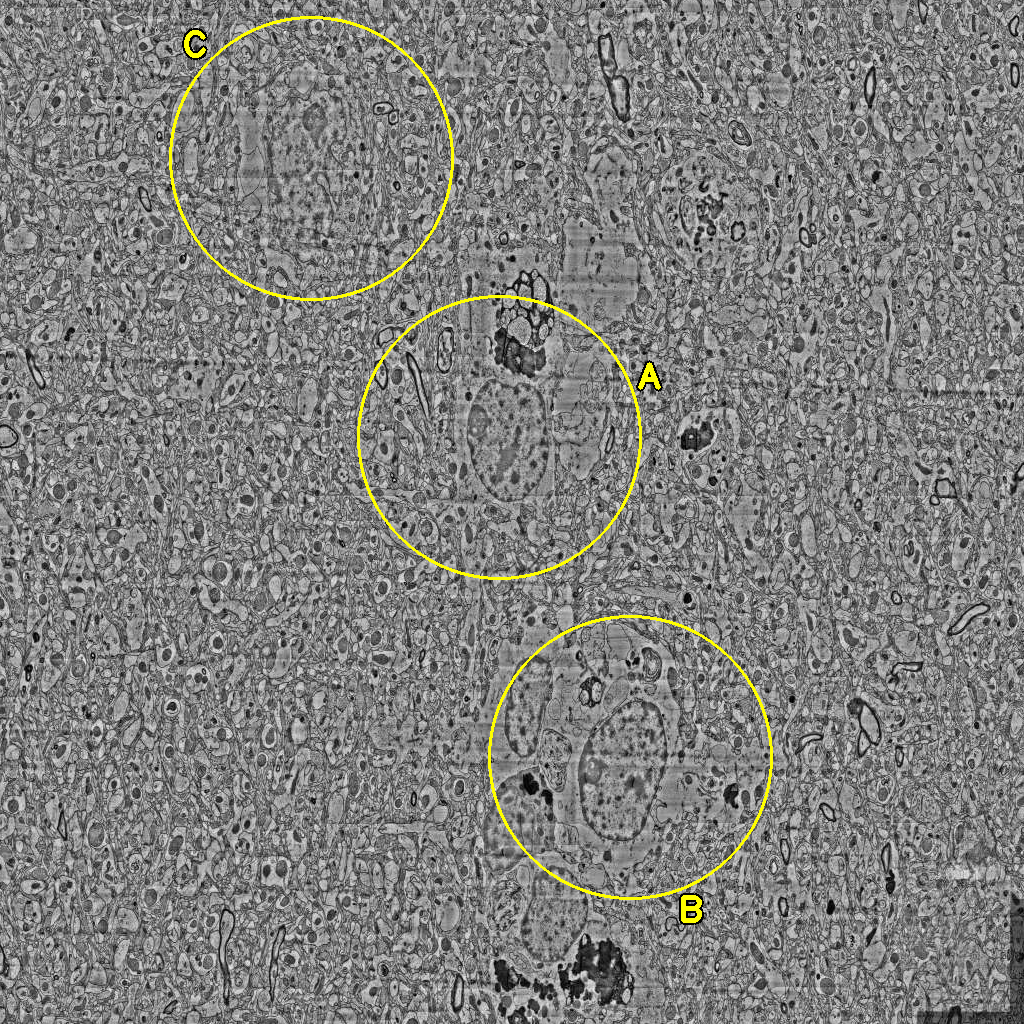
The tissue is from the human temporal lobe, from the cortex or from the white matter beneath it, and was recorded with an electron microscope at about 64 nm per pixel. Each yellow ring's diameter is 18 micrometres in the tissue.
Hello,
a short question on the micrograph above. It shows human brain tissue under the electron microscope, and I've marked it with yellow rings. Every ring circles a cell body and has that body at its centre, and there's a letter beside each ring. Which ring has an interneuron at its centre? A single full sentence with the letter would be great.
The cell you asked about sits at the centre of ring C.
